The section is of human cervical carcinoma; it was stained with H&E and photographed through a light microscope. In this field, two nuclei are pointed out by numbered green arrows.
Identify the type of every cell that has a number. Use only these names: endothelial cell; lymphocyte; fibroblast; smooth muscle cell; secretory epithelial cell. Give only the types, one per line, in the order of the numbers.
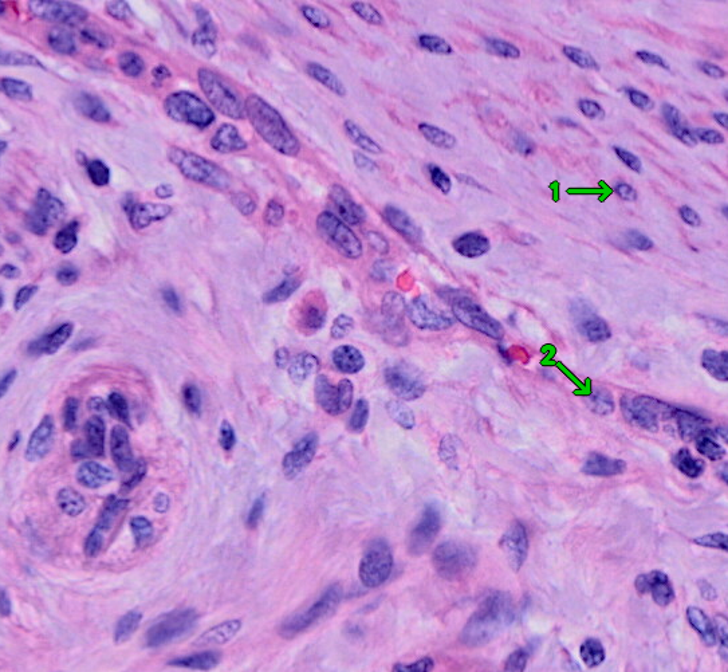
smooth muscle cell
endothelial cell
